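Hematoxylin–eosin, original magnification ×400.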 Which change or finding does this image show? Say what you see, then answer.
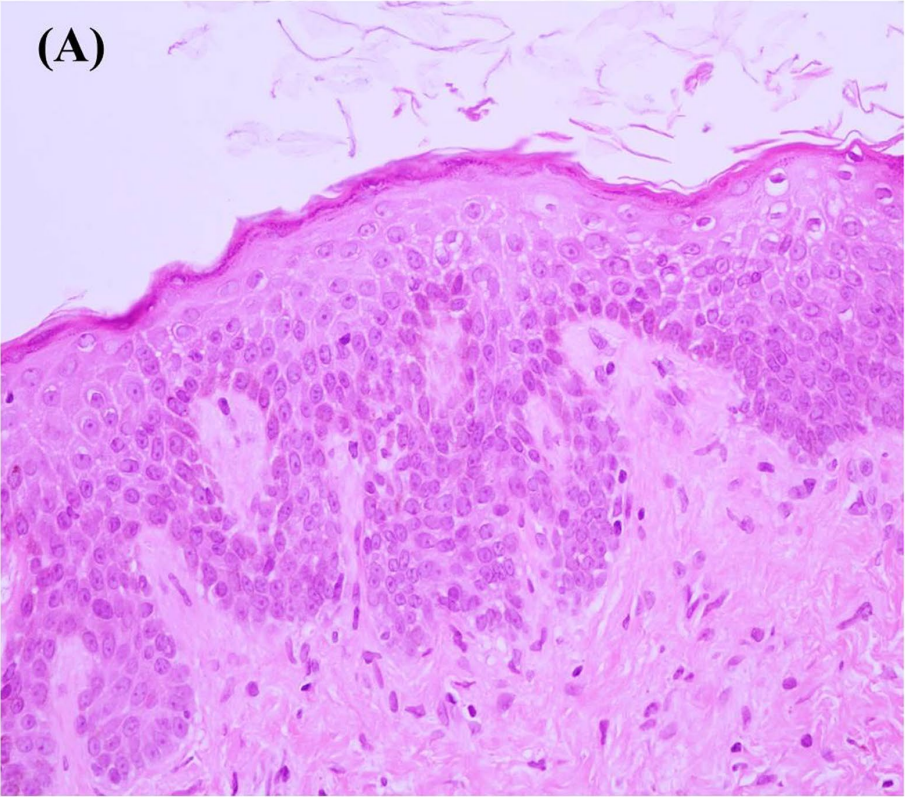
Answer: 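Orthokeratosis. The surface of the epidermis carries a thin, compact, deeply pink cornified layer. No nuclei are retained within the cornified layer. Loose flakes of keratin lie detached above the surface.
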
